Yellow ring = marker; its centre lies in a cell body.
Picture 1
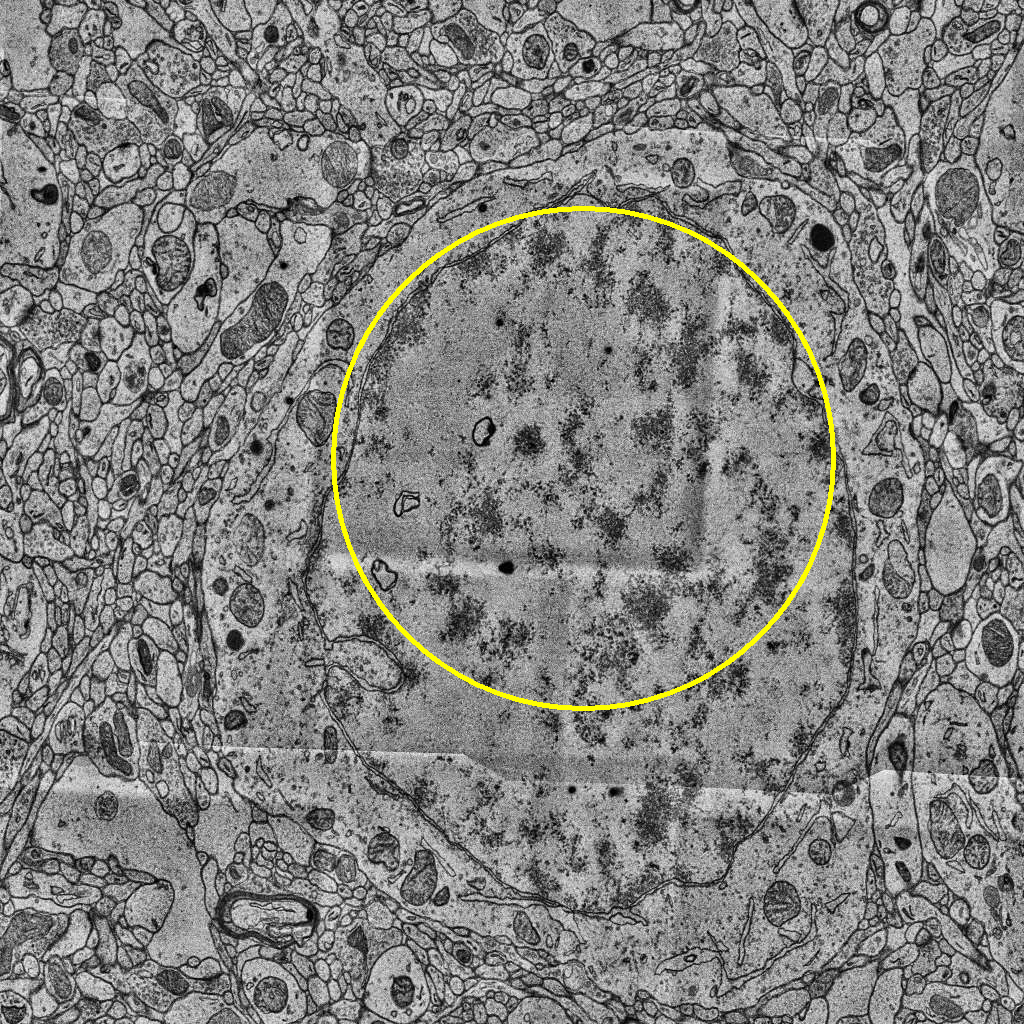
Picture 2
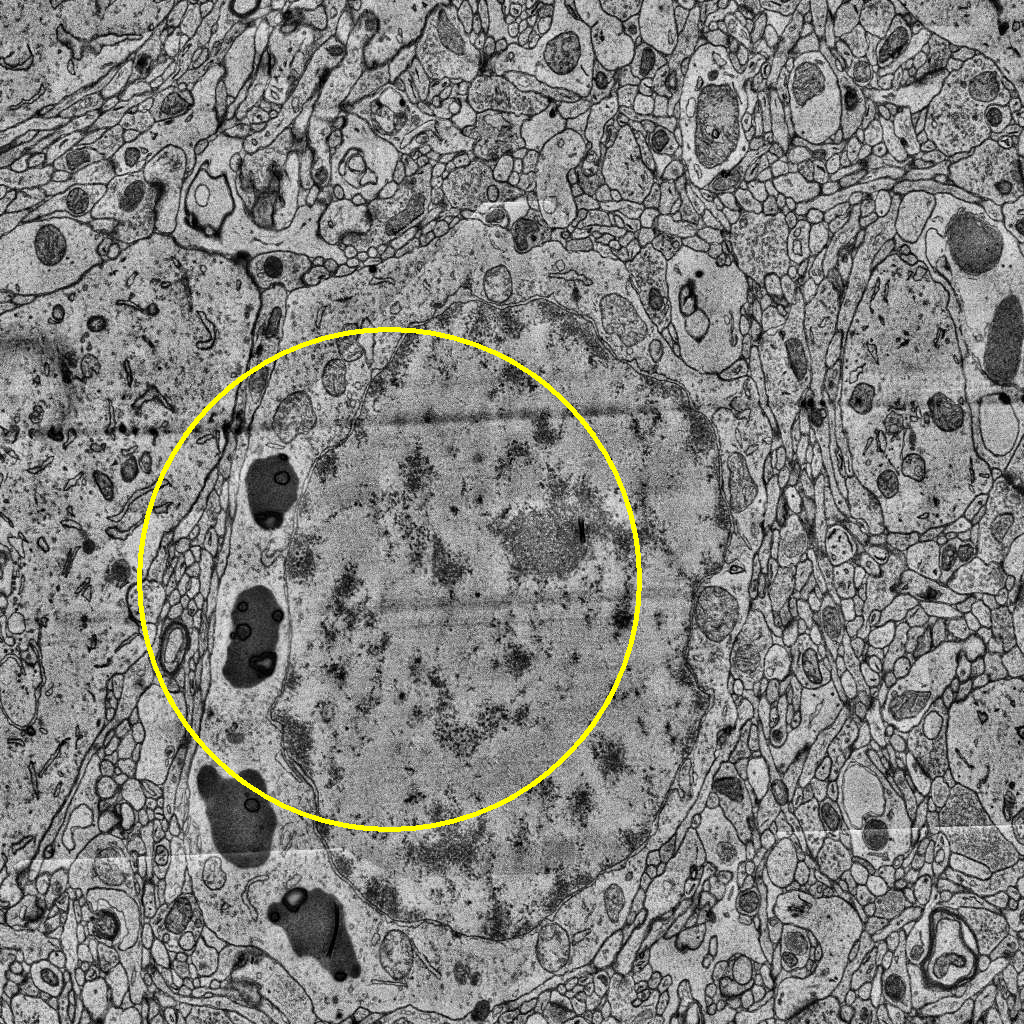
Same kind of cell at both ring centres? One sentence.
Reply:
Yes, they are the same kind of cell.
